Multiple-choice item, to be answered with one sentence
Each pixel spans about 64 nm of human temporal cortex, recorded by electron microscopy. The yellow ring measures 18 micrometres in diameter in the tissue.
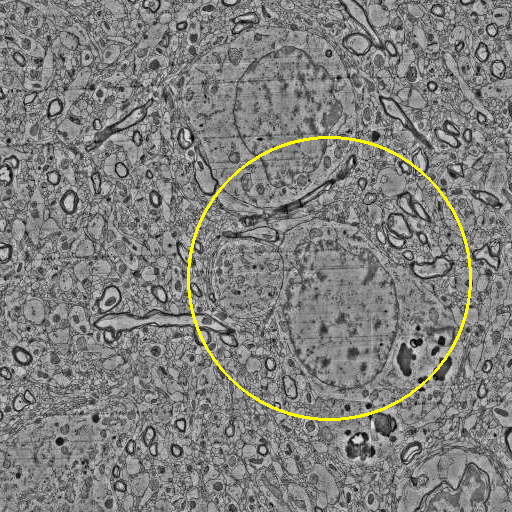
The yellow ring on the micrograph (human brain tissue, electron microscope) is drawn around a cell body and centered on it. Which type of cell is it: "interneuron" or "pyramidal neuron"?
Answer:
The ring is centered on an interneuron.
